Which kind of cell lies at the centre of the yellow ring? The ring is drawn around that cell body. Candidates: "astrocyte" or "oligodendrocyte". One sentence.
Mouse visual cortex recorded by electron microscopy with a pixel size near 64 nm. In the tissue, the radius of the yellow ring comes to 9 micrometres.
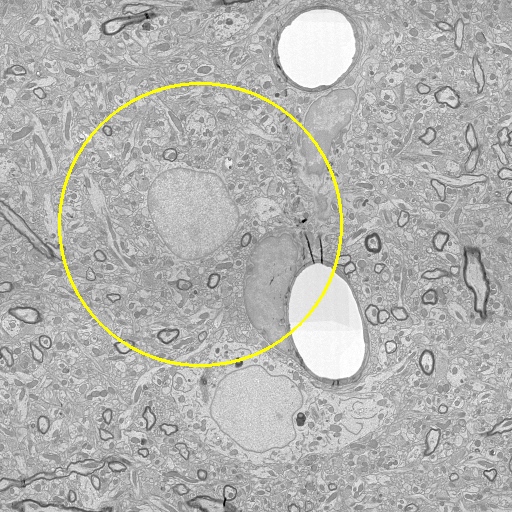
Lying at the centre of the ring is an astrocyte.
